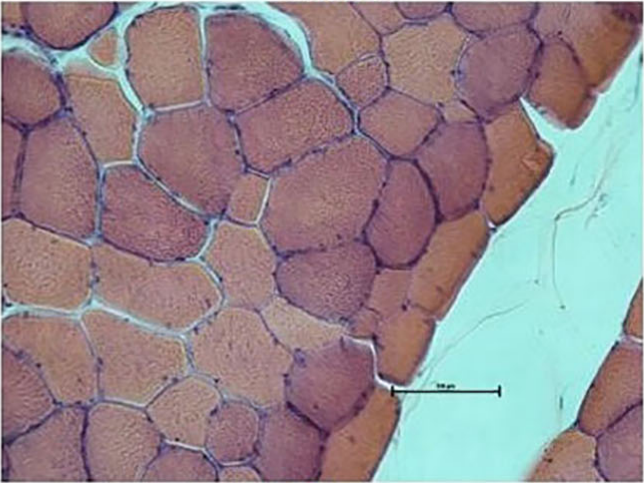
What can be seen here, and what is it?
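This is skeletal muscle cut in cross-section, made up of large polygonal muscle fibers. The fibers vary from pale orange-pink to deeper purple and their cytoplasm has a fine stippled texture. Small flattened dark nuclei sit at the periphery of the fibers. Thin pale gaps of connective tissue separate the fibers, and a broad pale connective tissue band runs diagonally along the right side of the field.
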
